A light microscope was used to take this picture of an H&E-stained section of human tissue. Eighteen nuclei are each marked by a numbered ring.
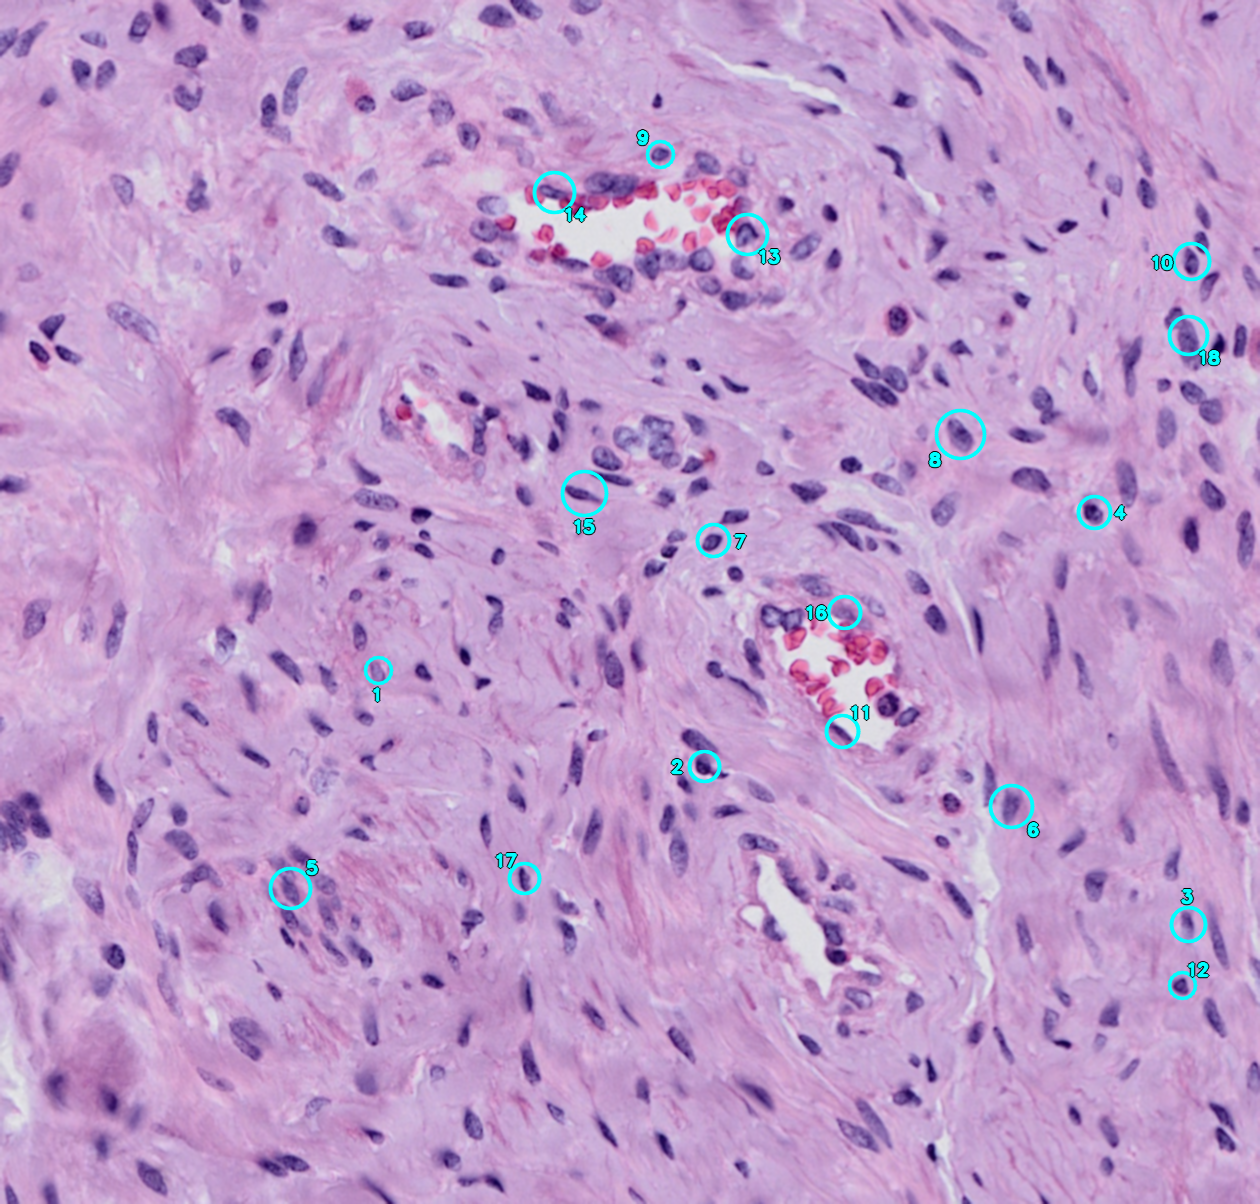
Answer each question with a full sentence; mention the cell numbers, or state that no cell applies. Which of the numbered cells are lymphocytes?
The cells labelled 2 and 4 in this section are lymphocytes.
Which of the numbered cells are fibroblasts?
As for the cells numbered 3, 6, 7, 8, 10, 12, 15, 17 and 18, they are fibroblasts.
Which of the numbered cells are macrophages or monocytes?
The numbered cells, every one of them, are not macrophages or monocytes.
